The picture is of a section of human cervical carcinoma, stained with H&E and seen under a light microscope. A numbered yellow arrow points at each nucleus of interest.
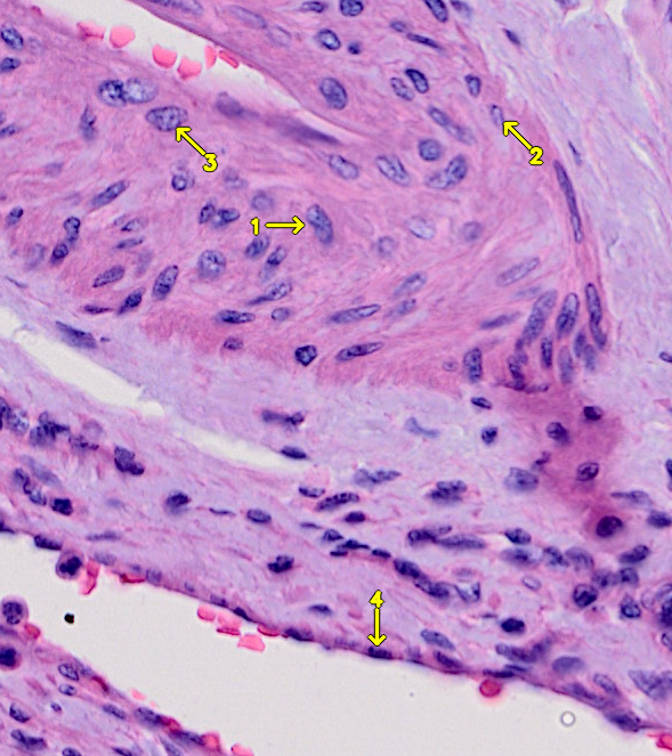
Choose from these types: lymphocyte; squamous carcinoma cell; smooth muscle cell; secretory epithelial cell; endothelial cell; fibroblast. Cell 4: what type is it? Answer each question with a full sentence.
The cell that goes by number 4 is an endothelial cell.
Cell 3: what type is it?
Number 3 among the marked cells is a smooth muscle cell.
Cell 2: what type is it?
Cell 2, among those numbered, is a smooth muscle cell.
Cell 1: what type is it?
Number 1 is placed on a smooth muscle cell here.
